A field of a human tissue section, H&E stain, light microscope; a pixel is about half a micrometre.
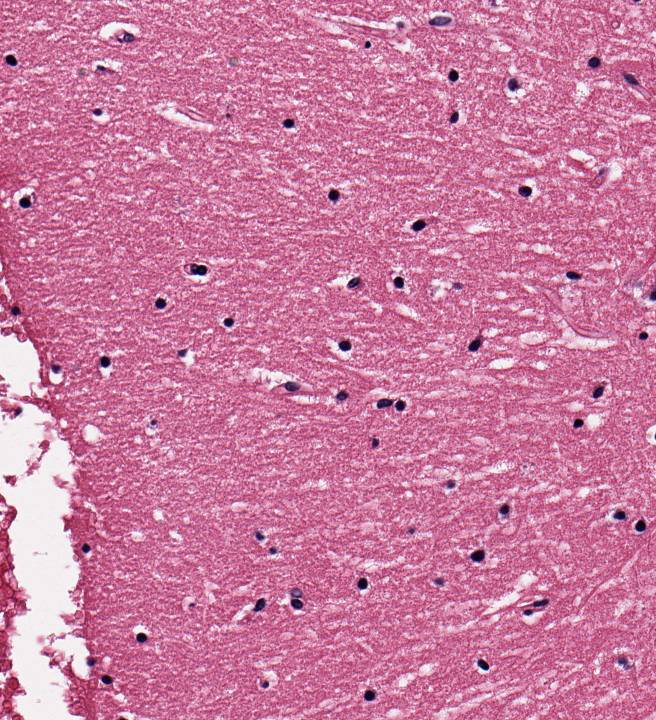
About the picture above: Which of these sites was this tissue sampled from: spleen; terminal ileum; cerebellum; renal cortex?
cerebellum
